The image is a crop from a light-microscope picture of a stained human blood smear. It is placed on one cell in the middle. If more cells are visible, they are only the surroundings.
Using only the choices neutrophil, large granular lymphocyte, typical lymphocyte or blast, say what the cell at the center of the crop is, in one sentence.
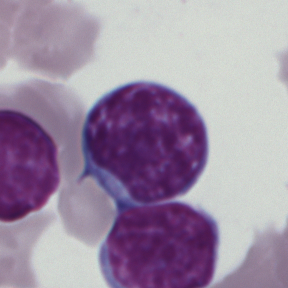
This crop's central cell is a blast.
